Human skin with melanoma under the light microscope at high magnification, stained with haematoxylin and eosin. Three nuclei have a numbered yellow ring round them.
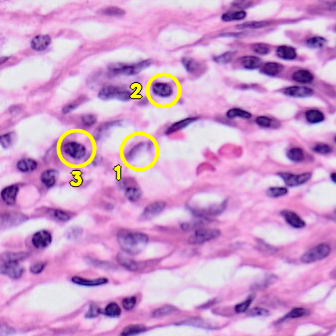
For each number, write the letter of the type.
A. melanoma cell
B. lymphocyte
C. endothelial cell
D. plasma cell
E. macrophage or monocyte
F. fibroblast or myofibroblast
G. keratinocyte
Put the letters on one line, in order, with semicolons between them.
F; B; D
